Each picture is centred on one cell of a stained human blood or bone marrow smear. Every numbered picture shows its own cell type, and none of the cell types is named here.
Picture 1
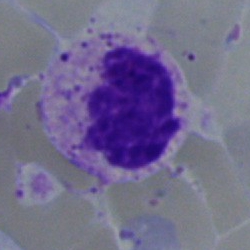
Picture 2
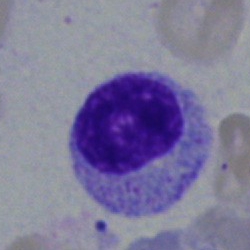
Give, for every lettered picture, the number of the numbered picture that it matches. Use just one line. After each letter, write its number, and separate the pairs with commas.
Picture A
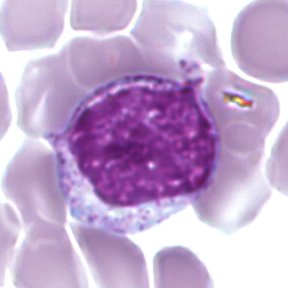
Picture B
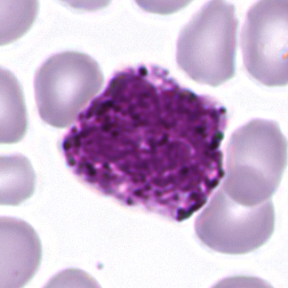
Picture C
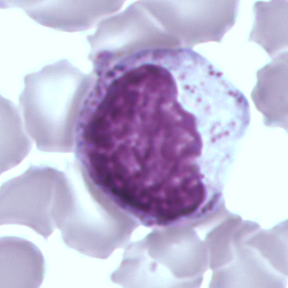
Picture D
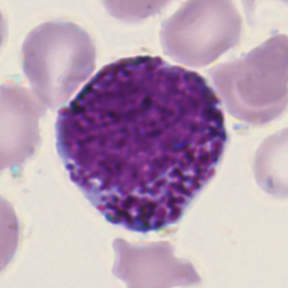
A 2, B 1, C 2, D 1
